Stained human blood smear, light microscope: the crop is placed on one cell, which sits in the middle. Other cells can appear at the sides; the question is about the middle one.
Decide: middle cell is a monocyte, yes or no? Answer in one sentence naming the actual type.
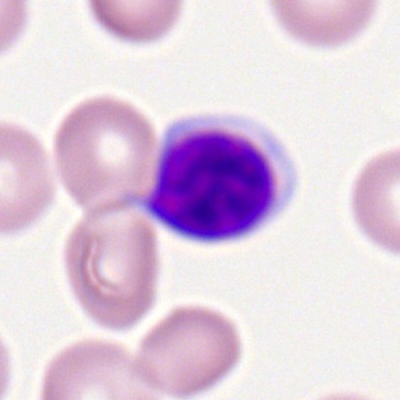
No, the cell centered in the crop is a lymphocyte, not a monocyte.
